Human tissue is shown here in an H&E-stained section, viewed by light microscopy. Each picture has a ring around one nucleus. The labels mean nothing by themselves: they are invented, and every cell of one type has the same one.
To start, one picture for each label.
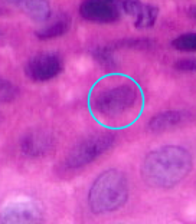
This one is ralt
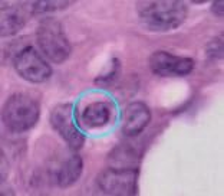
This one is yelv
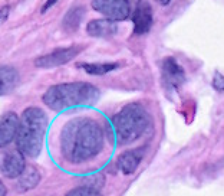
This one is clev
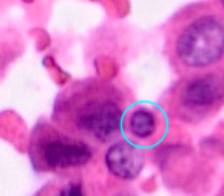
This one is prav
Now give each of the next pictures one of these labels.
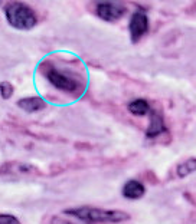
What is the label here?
yelv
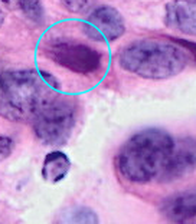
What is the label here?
clev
